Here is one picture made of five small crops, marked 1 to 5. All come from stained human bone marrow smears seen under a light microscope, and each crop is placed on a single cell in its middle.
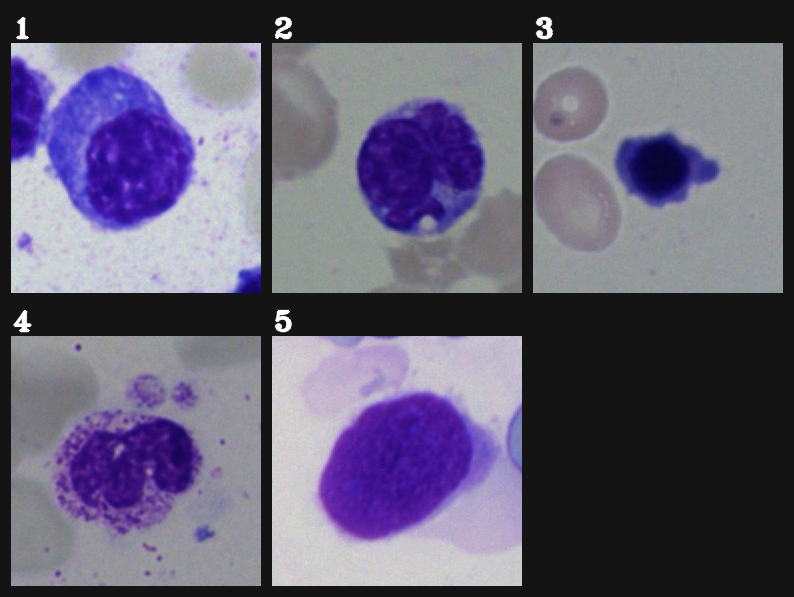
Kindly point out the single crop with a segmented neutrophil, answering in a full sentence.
Crop 4 is the correct crop, and it shows a segmented neutrophil.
